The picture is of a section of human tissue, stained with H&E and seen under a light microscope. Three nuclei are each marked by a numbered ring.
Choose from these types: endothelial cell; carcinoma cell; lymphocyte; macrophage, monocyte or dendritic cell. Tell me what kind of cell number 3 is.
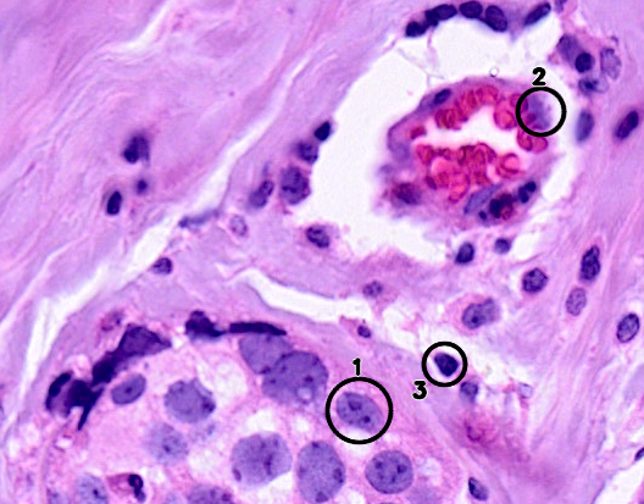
lymphocyte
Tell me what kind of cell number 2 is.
endothelial cell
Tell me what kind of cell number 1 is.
carcinoma cell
